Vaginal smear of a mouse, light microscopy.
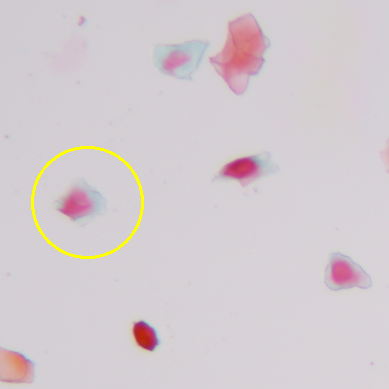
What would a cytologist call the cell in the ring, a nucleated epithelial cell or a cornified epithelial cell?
A cytologist would call it a nucleated epithelial cell.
